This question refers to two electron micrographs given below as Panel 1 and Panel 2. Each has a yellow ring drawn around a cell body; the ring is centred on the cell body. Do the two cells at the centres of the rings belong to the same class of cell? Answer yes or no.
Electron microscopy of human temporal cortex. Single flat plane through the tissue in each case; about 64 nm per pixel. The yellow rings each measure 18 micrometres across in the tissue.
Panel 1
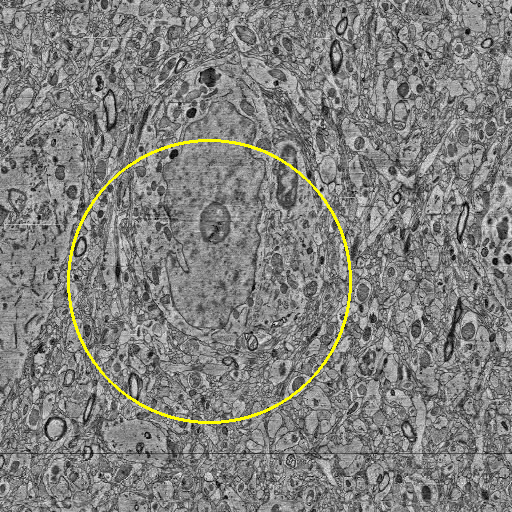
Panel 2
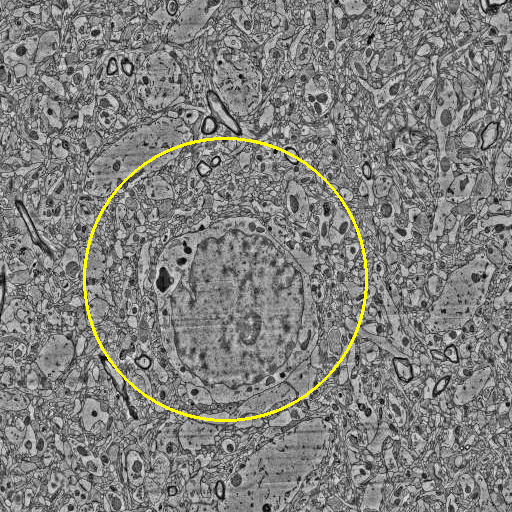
yes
